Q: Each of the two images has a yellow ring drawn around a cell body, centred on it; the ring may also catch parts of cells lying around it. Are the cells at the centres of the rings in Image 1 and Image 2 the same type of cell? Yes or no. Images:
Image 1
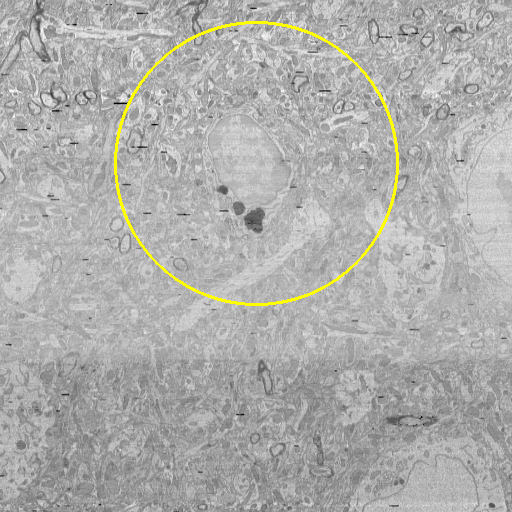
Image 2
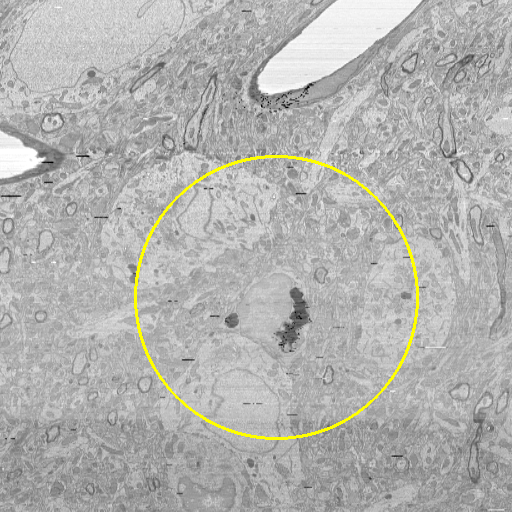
yes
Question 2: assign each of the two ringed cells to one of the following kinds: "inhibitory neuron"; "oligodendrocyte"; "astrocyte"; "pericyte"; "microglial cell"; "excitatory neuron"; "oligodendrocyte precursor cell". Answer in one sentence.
The cell in the first picture is a microglial cell, and so is the one in the second.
